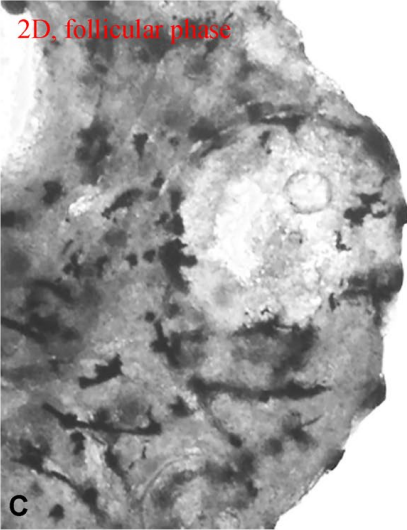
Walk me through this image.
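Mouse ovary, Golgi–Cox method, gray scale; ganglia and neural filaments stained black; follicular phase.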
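A pale round follicle with a small round inner body lies right of centre. Numerous black elements, some compact and irregular, others elongated and streak-like, are scattered through the gray tissue around it. Elongated black streaks run roughly parallel across the lower left part of the field. The image is soft in focus, so fine processes are poorly resolved.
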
